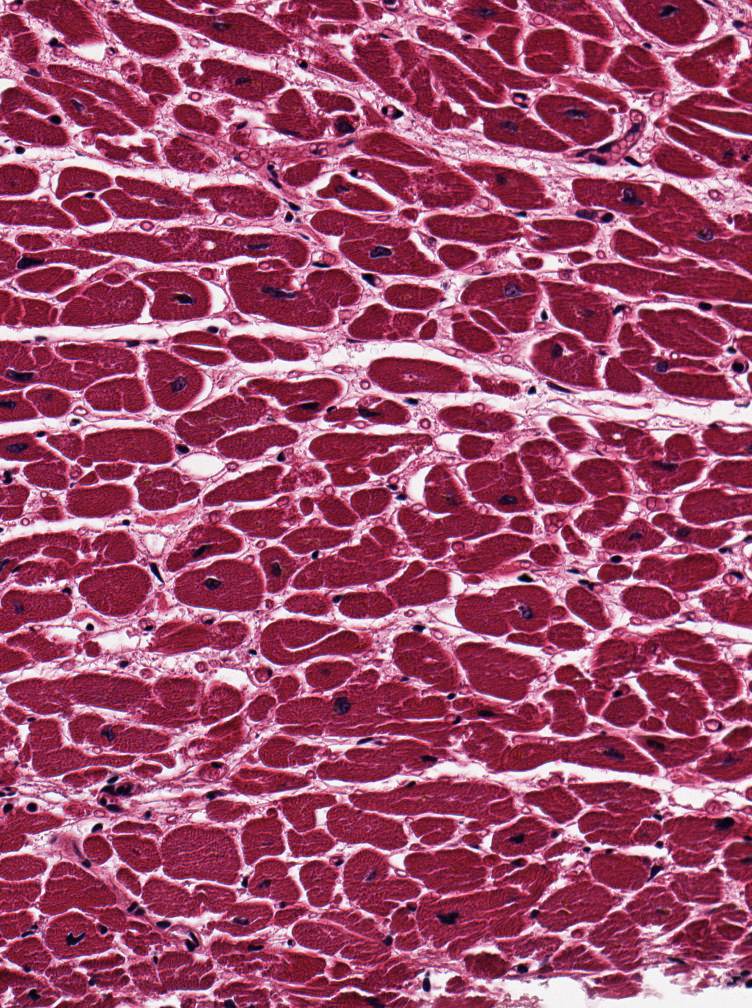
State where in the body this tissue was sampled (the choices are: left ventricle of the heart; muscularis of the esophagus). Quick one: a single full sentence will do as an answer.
Tissue of the left ventricle of the heart was sampled to make this section.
